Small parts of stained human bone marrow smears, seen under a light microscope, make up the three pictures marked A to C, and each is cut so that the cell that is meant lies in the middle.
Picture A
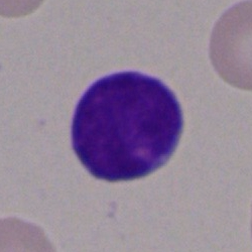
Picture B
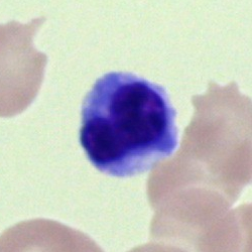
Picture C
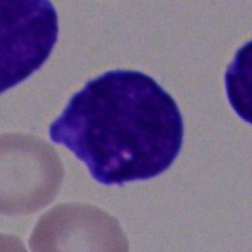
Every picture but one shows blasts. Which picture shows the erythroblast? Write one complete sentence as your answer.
It is picture B that shows the erythroblast.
